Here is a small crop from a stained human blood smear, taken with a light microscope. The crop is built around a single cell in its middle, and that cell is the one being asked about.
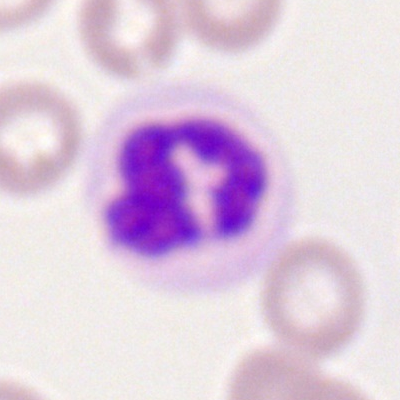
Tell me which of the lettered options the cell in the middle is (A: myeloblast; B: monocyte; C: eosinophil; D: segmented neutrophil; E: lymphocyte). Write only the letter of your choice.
D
